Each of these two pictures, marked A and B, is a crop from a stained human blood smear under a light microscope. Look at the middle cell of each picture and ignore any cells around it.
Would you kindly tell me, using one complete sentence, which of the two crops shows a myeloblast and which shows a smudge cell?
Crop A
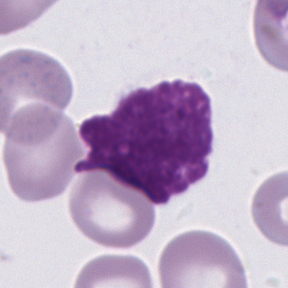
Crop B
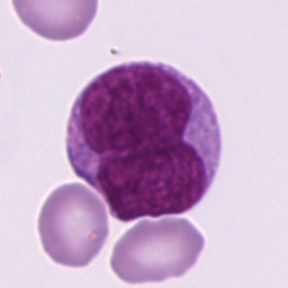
Crop A presents a smudge cell, and crop B presents a myeloblast.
